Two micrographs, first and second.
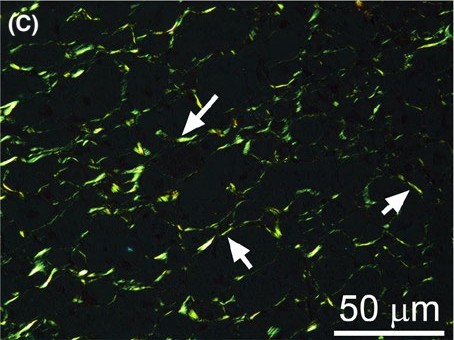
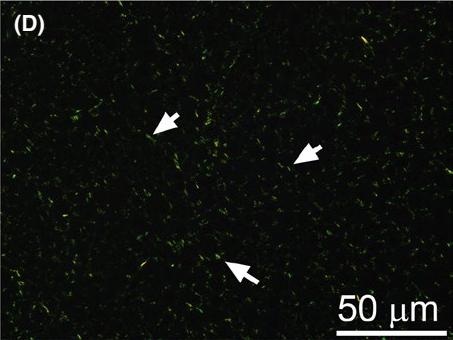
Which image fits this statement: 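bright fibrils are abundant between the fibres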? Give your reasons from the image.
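Second image: only tiny scattered bright specks on a dark field. First image: many bright yellow-green strands forming a network around rounded spaces. So: the first image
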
